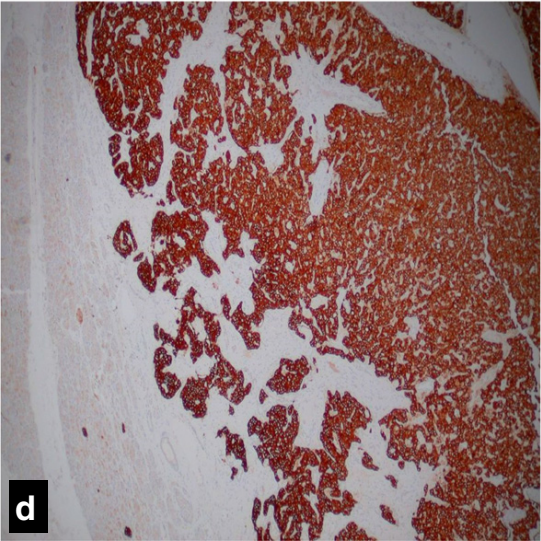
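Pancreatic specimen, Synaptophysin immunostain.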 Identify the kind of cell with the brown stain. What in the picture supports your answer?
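Tumor cells. Nests and trabeculae of cells are stained dark brown throughout. Surrounding fibrous stroma and tissue at the left edge are unstained.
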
